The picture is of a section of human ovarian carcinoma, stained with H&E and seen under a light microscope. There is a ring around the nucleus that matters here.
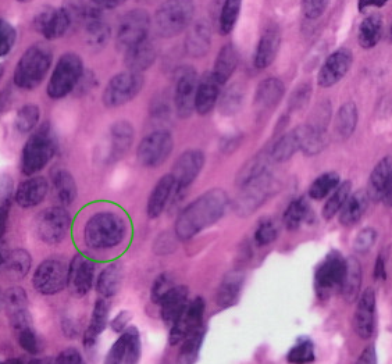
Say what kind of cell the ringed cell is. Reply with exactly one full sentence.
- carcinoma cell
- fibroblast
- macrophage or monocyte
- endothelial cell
In this section, the ringed cell is a carcinoma cell.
